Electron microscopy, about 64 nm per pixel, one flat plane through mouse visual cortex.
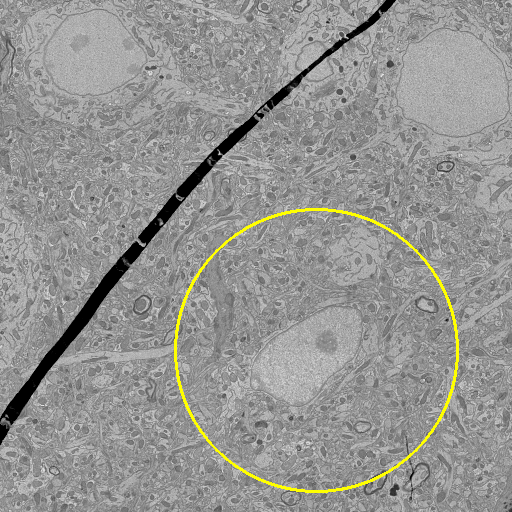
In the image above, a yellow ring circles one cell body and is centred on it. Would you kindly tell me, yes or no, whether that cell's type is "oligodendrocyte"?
no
